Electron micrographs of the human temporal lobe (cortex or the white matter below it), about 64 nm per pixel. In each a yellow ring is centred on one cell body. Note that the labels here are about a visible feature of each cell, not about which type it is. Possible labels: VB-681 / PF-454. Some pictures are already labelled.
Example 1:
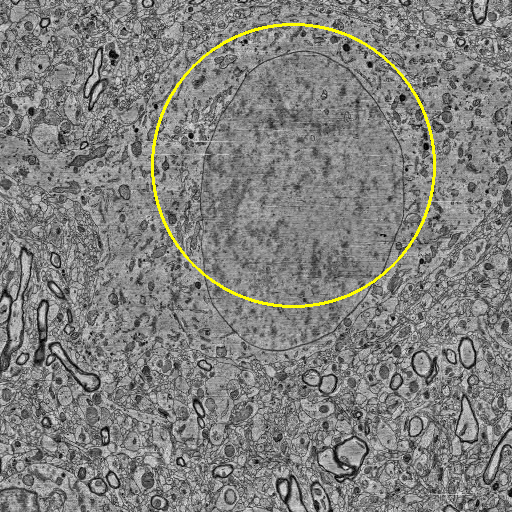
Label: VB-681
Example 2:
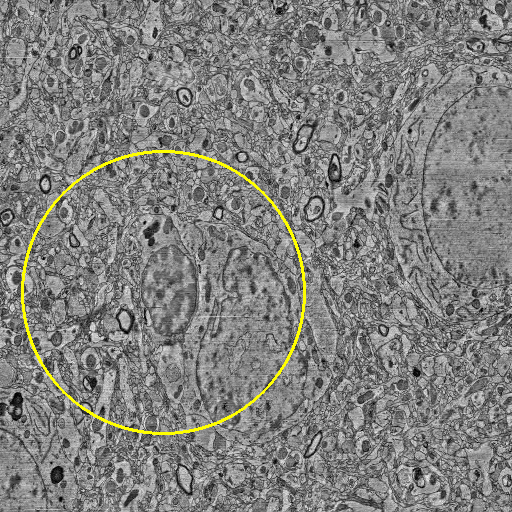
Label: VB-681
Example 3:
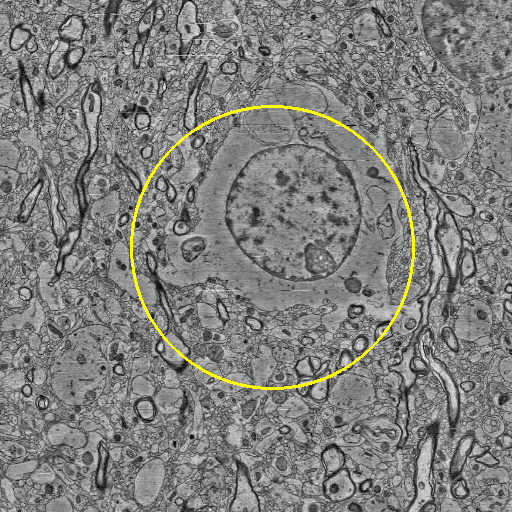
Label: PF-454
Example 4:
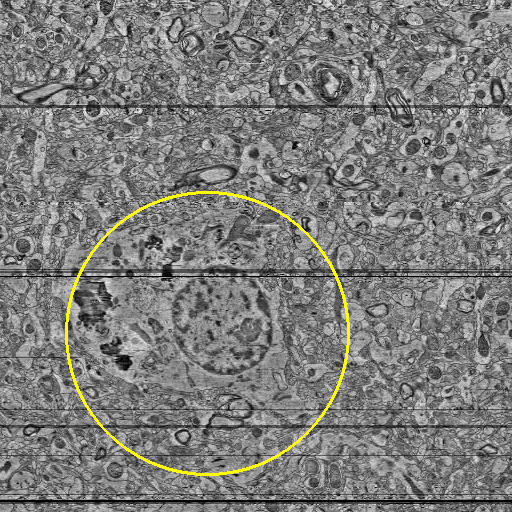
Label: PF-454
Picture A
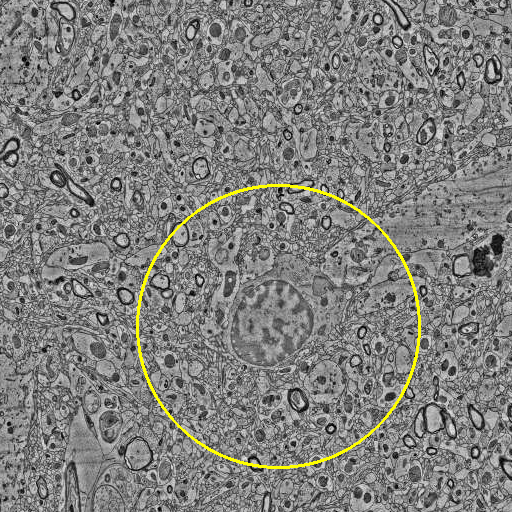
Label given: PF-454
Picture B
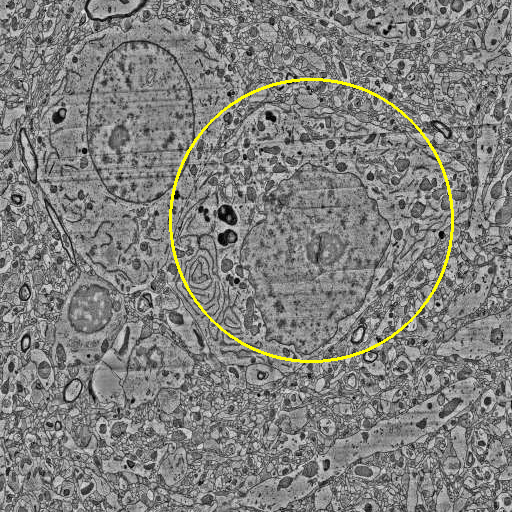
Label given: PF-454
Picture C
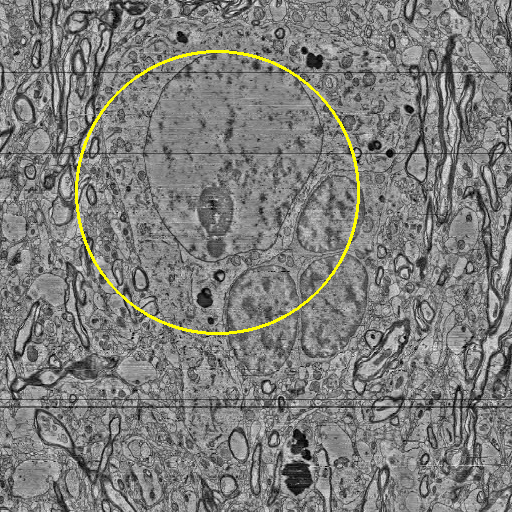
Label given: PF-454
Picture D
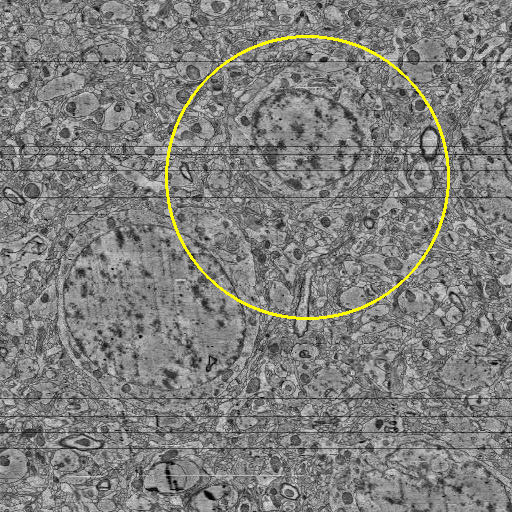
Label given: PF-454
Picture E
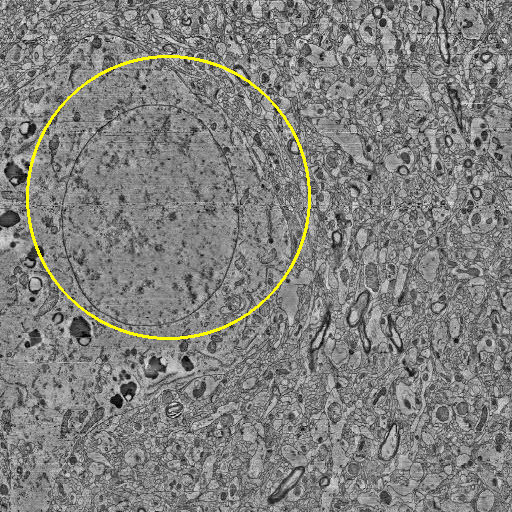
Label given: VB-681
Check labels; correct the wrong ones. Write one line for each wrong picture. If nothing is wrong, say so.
Wrong: A (PF-454); correct: VB-681
Wrong: D (PF-454); correct: VB-681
